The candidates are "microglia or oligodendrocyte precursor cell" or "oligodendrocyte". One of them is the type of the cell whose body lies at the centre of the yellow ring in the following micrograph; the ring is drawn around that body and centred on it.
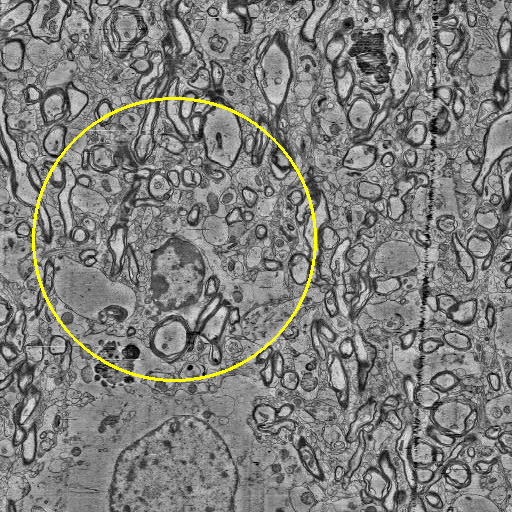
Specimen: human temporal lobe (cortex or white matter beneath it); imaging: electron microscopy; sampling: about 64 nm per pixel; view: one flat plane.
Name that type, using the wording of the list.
microglia or oligodendrocyte precursor cell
